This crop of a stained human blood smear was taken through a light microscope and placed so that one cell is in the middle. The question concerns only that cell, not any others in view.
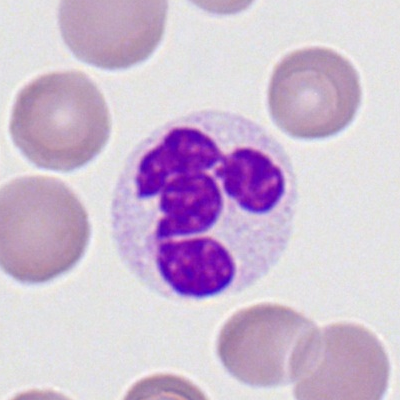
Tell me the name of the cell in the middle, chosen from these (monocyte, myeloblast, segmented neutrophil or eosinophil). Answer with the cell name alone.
segmented neutrophil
